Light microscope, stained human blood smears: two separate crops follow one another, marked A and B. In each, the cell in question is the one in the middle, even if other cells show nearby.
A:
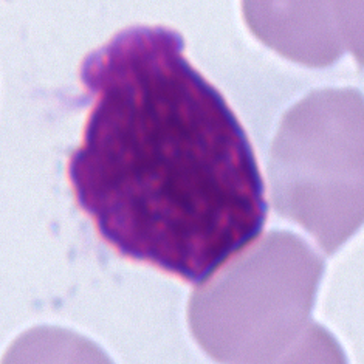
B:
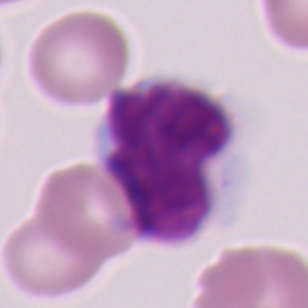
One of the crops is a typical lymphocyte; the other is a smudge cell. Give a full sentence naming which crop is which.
Classification: crop A is a smudge cell, crop B is a typical lymphocyte.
